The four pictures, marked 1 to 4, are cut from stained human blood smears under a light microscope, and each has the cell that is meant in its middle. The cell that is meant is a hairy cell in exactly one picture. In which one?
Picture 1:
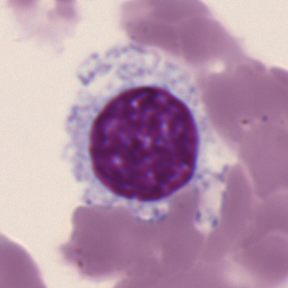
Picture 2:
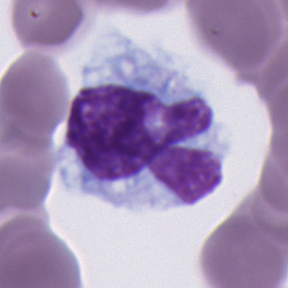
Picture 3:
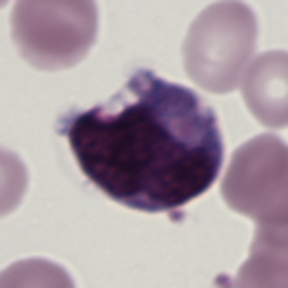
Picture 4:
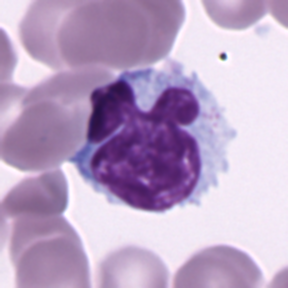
1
